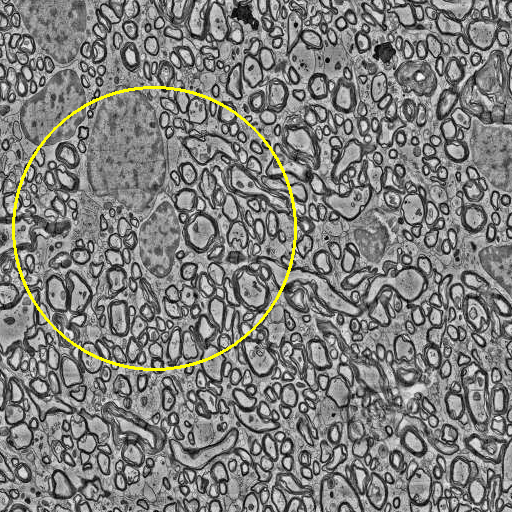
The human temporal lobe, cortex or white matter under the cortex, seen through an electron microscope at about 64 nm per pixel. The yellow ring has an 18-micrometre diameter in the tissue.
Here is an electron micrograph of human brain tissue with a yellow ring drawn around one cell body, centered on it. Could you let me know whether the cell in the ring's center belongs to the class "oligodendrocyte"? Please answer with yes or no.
no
